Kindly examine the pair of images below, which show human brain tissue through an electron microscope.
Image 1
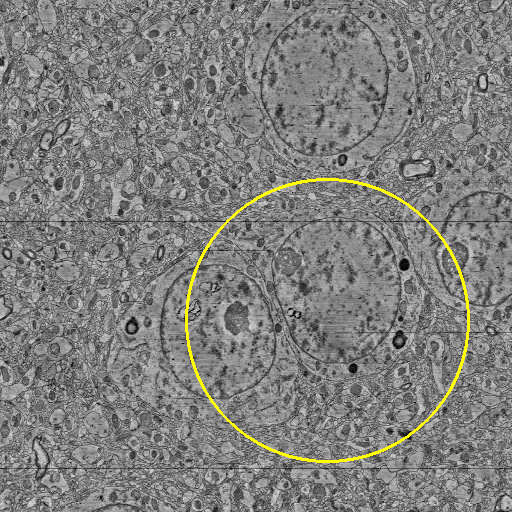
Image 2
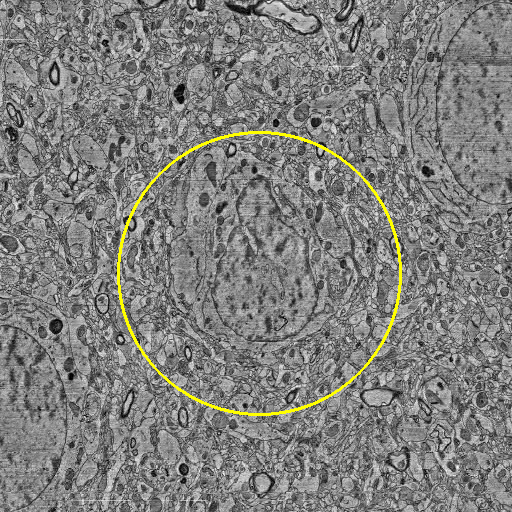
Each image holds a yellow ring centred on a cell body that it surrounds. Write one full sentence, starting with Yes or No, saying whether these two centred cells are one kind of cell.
No, the cells at the centres of the yellow rings belong to two kinds of cell.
